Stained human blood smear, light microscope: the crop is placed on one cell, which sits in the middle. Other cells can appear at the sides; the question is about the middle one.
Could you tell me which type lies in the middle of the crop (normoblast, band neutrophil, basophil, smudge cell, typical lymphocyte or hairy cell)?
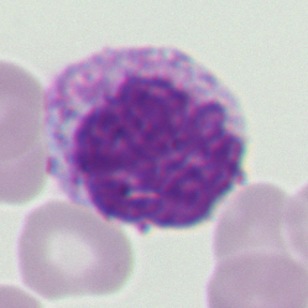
band neutrophil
